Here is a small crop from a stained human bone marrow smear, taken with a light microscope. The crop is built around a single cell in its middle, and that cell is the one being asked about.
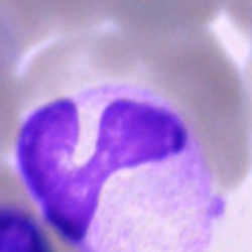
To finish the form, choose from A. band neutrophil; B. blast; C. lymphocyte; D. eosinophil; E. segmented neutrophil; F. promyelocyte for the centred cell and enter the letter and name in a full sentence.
Answer key: option A, the middle cell being a band neutrophil.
